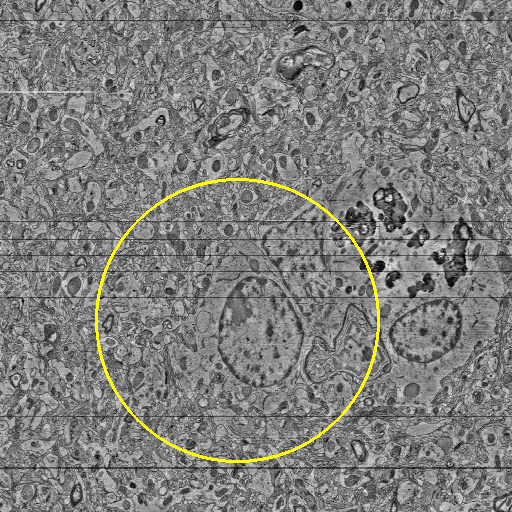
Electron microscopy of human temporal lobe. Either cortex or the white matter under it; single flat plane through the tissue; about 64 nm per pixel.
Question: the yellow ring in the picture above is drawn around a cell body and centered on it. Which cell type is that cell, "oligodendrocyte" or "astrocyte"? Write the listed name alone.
astrocyte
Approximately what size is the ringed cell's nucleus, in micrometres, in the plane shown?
Roughly 7 by 6 micrometres is the size of the nucleus in this plane.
